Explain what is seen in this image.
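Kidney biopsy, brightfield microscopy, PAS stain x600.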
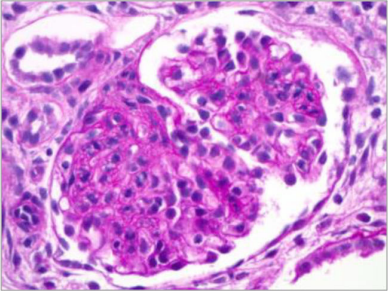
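This is a glomerulus showing mesangial and endocapillary hypercellularity. The tuft is packed with numerous dark nuclei, and most capillary loops appear closed rather than open, with magenta-staining basement membranes and matrix running through it. A clear space separates the swollen tuft from the thin capsule, and cut tubules lie around the outside.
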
